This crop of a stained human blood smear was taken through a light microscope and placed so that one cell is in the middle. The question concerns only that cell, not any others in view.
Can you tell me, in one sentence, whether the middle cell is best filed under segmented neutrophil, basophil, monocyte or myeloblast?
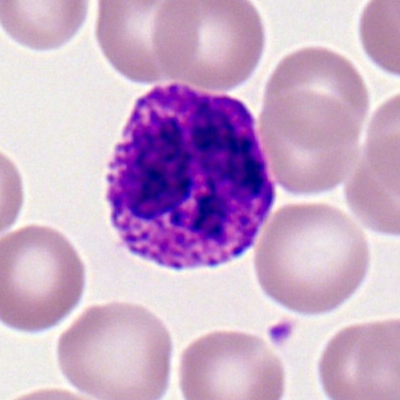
This crop is built around a basophil at its centre.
